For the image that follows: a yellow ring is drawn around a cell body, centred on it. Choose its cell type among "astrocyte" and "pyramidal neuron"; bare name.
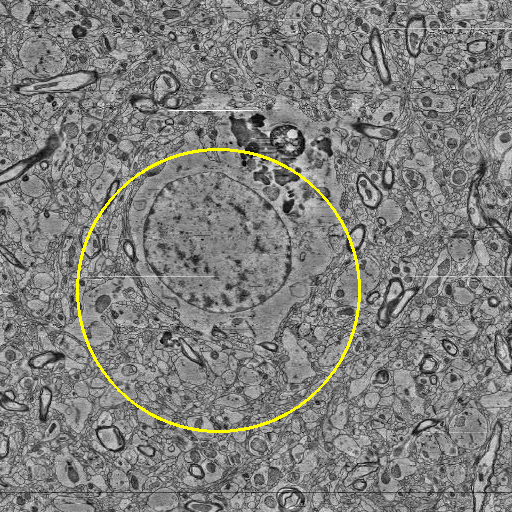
astrocyte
